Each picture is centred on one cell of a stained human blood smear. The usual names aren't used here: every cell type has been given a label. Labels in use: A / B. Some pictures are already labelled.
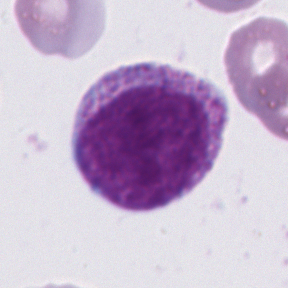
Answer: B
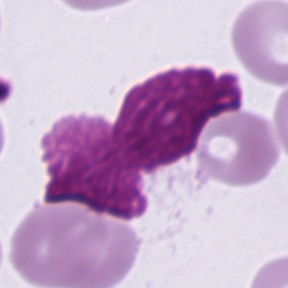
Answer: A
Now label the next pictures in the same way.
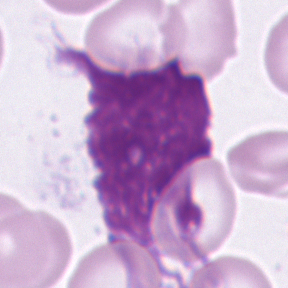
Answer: A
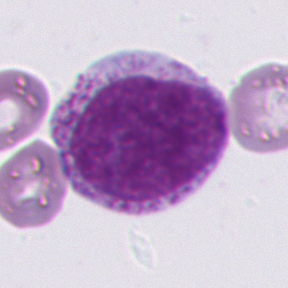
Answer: B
